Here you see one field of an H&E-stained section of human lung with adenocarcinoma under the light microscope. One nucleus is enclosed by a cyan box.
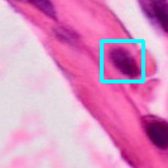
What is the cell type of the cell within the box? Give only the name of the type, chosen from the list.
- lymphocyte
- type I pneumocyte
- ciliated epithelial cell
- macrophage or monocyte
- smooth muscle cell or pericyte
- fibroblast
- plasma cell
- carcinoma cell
type I pneumocyte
